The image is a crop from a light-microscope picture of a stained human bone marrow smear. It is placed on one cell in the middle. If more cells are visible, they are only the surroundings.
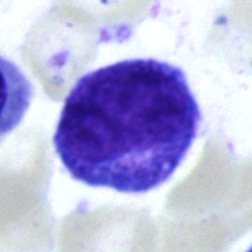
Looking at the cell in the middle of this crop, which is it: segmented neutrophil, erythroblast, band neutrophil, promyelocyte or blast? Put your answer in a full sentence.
The centrally placed cell is classified as a promyelocyte.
